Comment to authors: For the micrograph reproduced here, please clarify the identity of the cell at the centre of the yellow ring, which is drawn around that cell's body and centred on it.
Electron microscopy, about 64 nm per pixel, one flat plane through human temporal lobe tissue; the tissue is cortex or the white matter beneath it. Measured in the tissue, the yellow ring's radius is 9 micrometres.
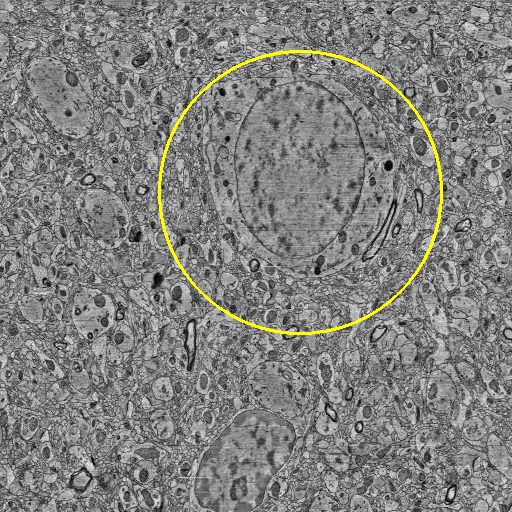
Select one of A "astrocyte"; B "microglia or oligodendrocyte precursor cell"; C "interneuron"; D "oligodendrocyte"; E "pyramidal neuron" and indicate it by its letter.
E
